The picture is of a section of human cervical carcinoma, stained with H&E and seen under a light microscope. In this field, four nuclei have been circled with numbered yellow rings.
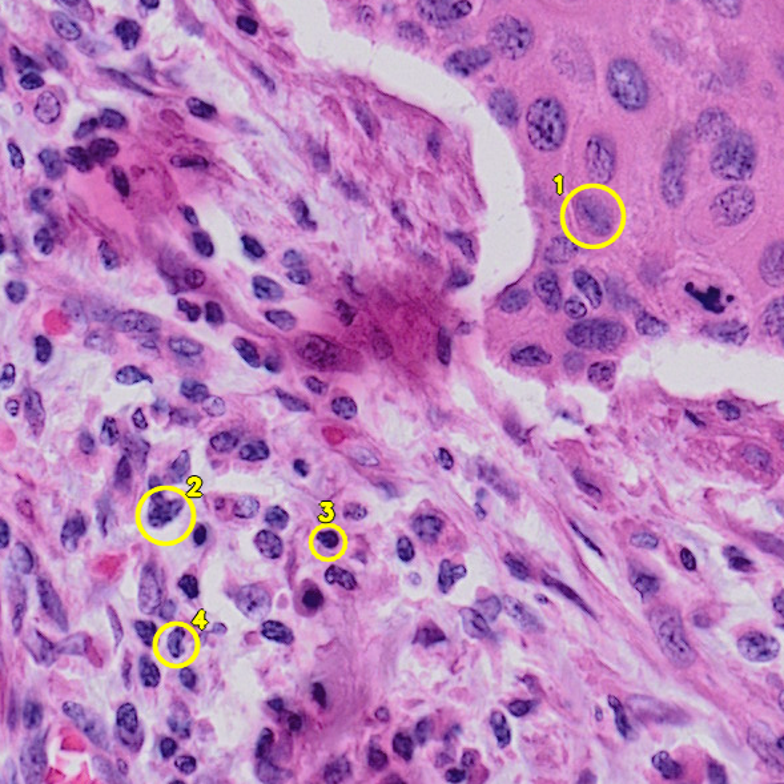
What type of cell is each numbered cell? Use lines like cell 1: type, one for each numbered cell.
cell 1: squamous carcinoma cell
cell 2: lymphocyte
cell 3: lymphocyte
cell 4: lymphocyte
